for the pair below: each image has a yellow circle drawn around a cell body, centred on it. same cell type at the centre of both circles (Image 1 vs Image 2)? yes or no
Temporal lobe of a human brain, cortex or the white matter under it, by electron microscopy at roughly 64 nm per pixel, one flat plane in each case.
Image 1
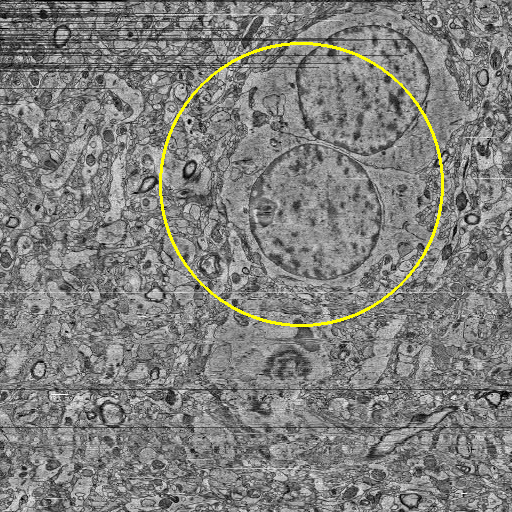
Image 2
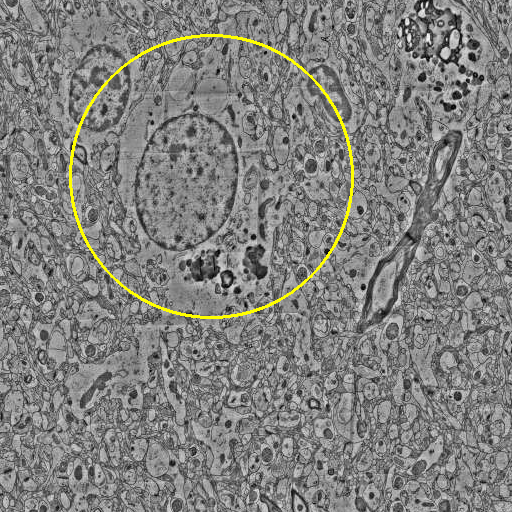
yes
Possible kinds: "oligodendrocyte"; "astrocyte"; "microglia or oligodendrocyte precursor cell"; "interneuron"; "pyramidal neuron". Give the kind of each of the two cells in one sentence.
Each of the ringed cells, first and second, is an astrocyte.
